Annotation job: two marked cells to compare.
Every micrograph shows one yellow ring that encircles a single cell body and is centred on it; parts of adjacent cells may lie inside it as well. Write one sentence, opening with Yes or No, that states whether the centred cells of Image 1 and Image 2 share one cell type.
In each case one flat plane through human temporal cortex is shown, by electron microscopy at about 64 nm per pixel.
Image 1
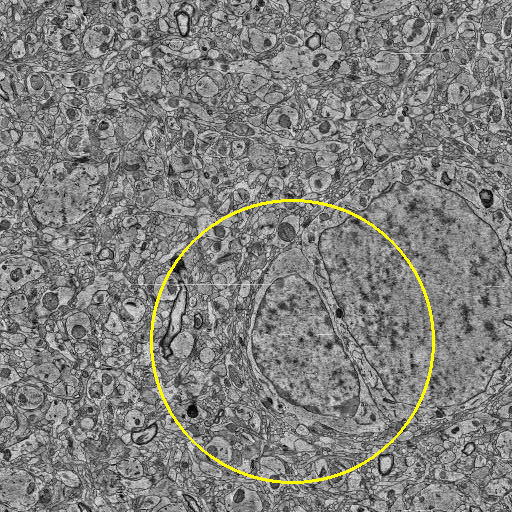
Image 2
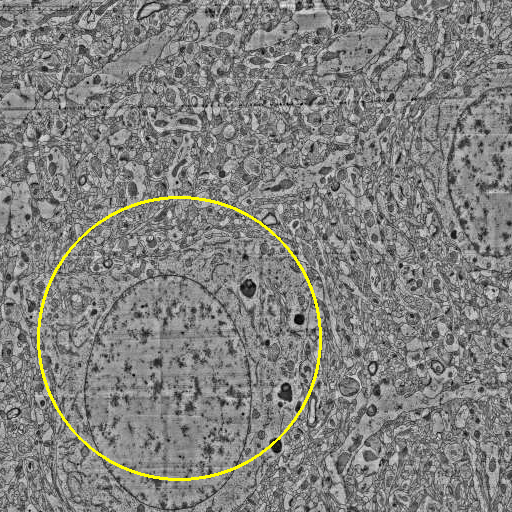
No, the cell centred in Image 1 and the cell centred in Image 2 are of two types.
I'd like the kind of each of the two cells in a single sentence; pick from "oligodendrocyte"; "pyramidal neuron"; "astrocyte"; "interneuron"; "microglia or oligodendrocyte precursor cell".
The first ring marks a microglial cell or oligodendrocyte precursor cell, and the second ring marks a pyramidal neuron.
